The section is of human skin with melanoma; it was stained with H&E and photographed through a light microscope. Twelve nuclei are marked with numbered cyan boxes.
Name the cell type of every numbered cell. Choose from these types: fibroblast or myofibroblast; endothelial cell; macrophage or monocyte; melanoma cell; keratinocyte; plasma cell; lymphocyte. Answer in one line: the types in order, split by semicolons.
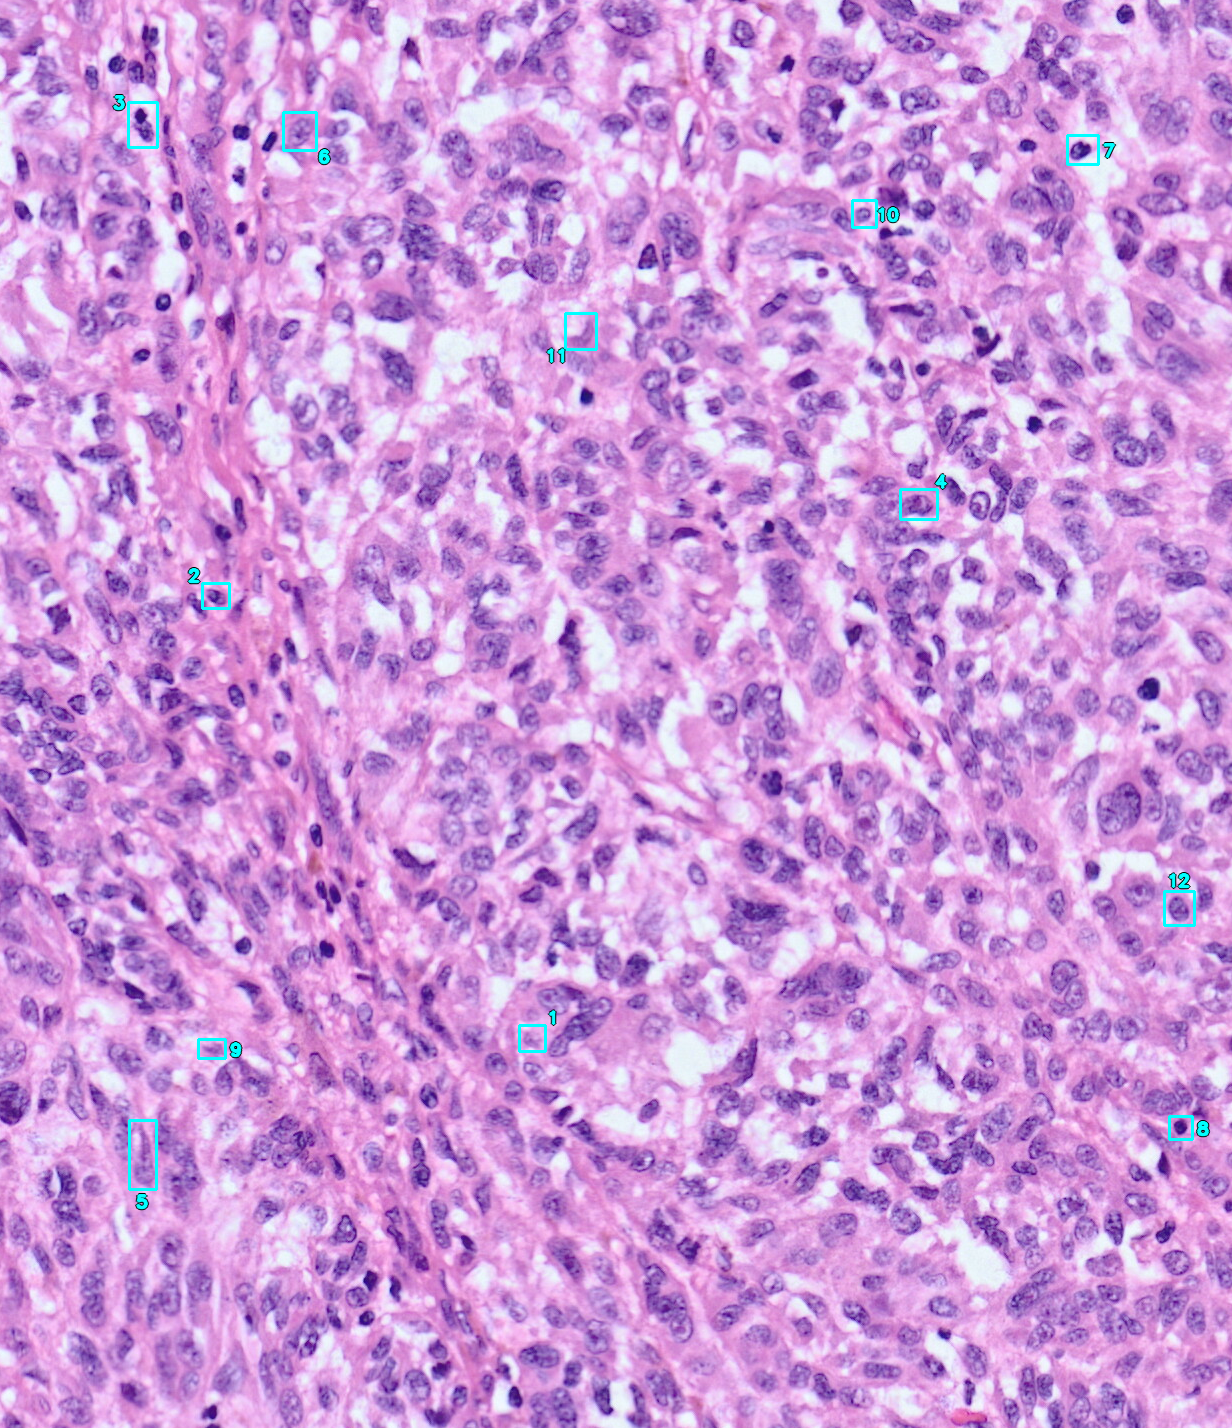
melanoma cell; lymphocyte; lymphocyte; melanoma cell; melanoma cell; melanoma cell; lymphocyte; lymphocyte; melanoma cell; lymphocyte; melanoma cell; melanoma cell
